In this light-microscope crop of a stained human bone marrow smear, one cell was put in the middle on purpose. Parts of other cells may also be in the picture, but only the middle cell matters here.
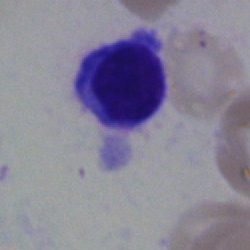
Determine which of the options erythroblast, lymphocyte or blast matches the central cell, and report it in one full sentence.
On this slide crop, the central cell is a lymphocyte.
